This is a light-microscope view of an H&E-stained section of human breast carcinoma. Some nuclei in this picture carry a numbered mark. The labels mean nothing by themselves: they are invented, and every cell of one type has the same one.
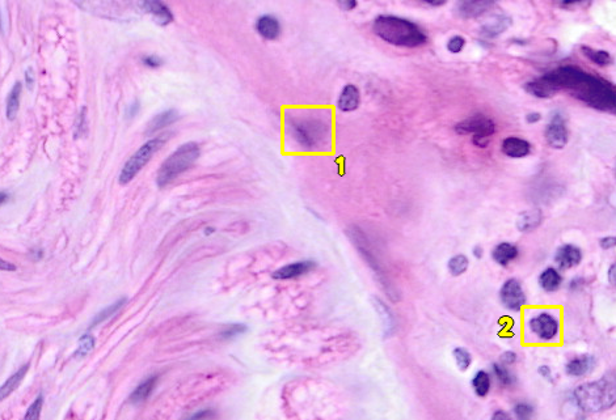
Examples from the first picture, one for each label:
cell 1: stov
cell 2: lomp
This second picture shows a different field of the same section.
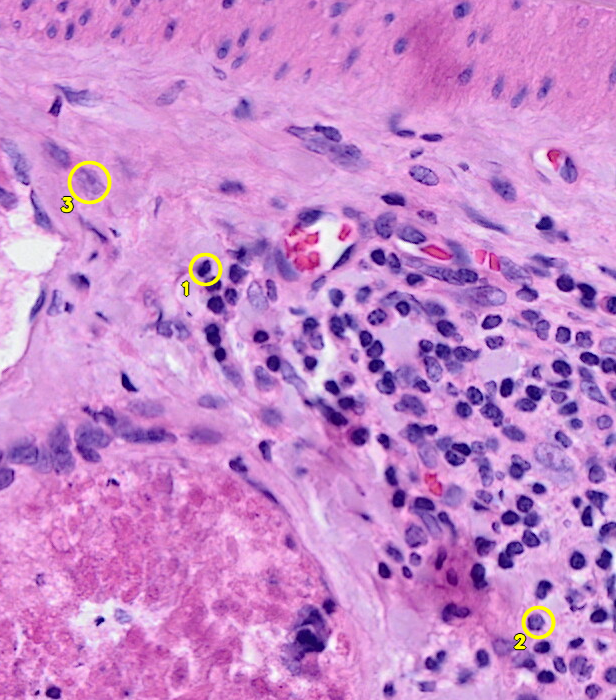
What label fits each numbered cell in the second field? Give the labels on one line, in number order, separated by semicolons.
lomp; lomp; stov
